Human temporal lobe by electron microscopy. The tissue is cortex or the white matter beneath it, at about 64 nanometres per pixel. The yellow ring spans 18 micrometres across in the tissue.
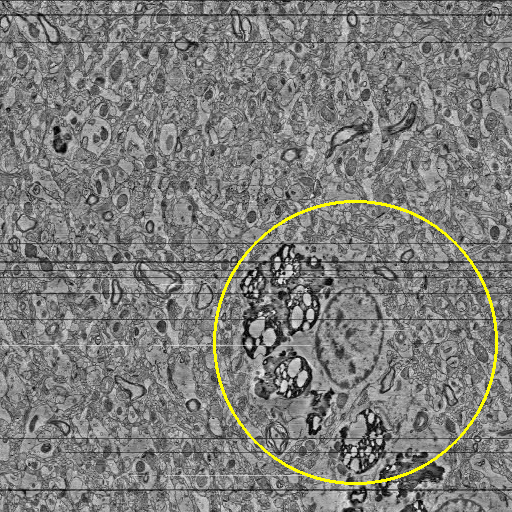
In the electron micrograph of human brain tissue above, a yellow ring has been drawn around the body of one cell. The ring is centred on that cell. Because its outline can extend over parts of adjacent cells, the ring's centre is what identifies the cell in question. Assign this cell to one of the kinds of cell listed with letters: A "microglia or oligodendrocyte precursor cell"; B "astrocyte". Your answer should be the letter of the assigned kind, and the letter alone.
B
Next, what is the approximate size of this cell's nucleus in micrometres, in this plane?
The nucleus is approximately 7 micrometres long but only about 4 wide, clearly longer than it is wide in this plane.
